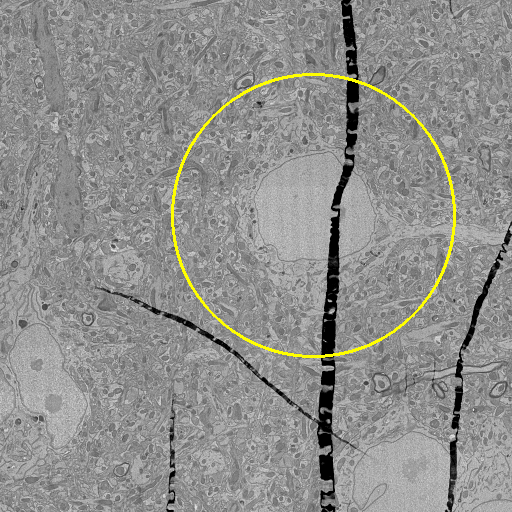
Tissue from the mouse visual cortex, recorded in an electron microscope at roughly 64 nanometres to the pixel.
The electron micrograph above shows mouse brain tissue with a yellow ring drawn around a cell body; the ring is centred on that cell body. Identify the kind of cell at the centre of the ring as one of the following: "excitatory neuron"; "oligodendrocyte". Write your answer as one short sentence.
The cell at the centre of the ring is an excitatory neuron.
